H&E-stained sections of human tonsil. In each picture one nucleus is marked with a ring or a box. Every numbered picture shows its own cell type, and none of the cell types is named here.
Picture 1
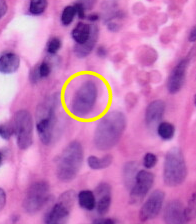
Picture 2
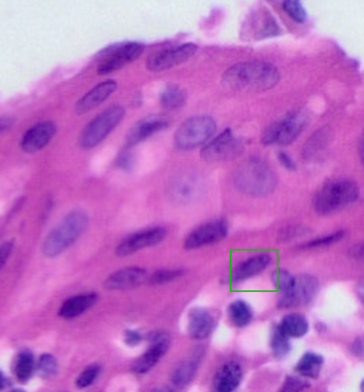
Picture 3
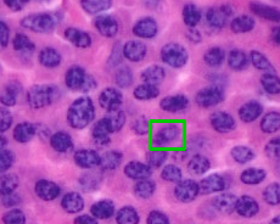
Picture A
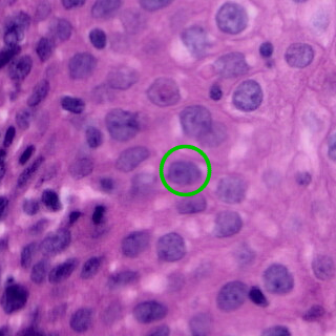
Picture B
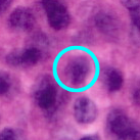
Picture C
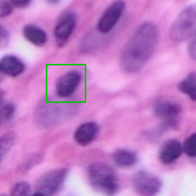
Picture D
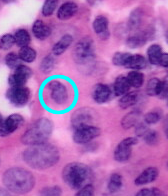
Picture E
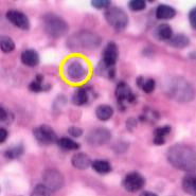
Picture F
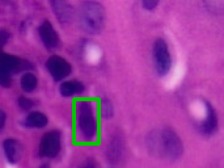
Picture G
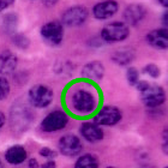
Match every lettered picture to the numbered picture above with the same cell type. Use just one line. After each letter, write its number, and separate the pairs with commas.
A 2, B 2, C 1, D 1, E 1, F 2, G 3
